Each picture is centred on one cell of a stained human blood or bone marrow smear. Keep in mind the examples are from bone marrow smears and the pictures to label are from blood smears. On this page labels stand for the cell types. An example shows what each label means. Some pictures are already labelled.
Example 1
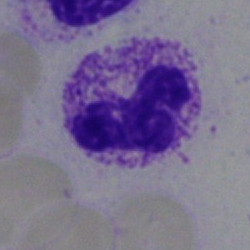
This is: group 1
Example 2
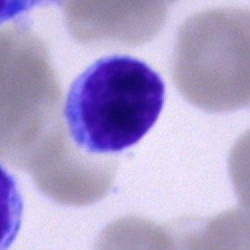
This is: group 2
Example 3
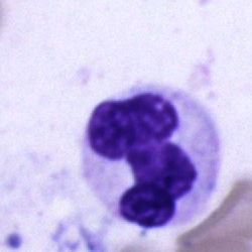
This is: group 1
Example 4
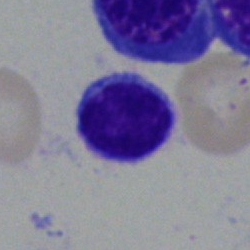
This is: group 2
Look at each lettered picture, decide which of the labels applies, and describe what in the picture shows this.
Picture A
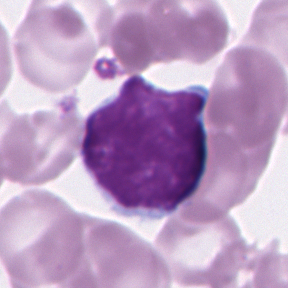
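group 2. Reason: The nucleus fills almost the whole cell.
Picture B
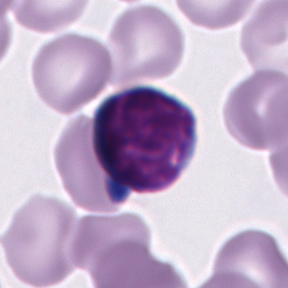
group 2. Reason: The visible cytoplasm stains deep blue.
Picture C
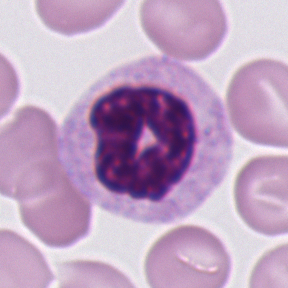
group 1. Reason: A wide rim of pale lilac cytoplasm surrounds the nucleus.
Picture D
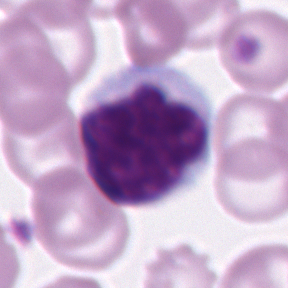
group 2. Reason: Only a narrow rim of pale blue cytoplasm surrounds the nucleus.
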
